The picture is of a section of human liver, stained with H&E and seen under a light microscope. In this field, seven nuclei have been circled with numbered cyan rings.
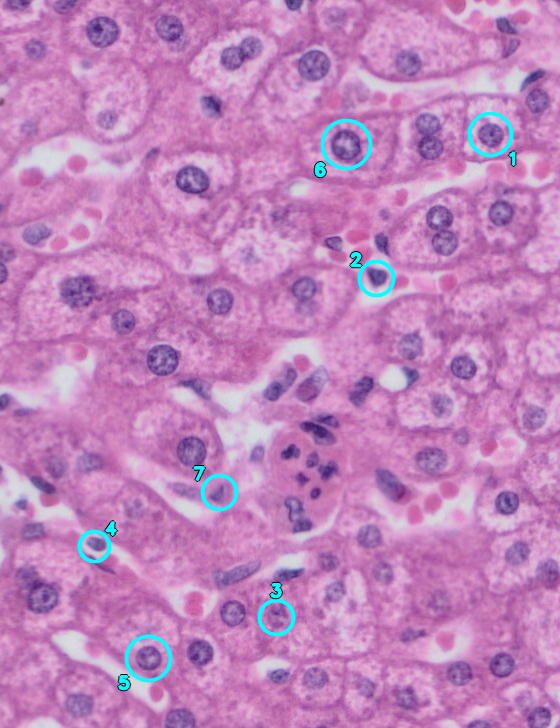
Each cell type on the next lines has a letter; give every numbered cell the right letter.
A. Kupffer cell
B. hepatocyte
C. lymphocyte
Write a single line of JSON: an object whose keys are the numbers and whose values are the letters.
{"1": "B", "2": "C", "3": "B", "4": "C", "5": "B", "6": "B", "7": "A"}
